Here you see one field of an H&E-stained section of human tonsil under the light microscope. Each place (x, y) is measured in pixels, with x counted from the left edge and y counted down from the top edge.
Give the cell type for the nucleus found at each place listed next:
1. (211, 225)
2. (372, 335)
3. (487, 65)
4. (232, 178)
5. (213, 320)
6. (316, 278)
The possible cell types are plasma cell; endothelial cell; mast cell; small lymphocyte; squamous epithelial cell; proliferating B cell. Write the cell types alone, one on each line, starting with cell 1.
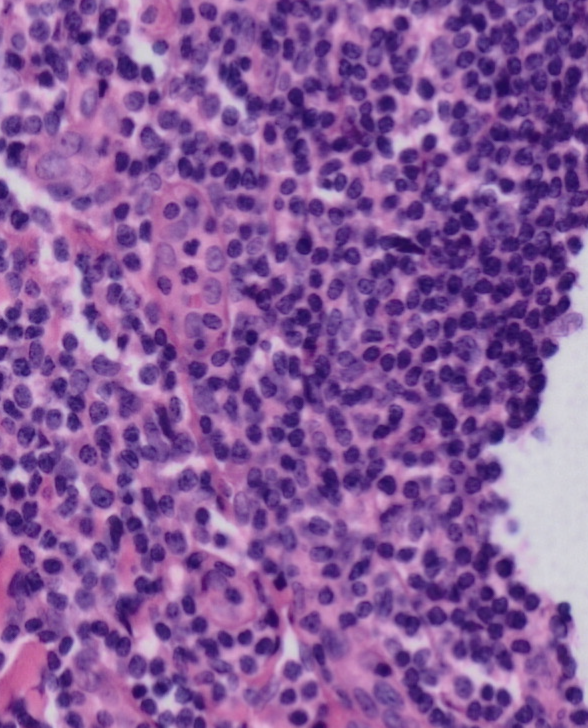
endothelial cell
small lymphocyte
small lymphocyte
small lymphocyte
endothelial cell
small lymphocyte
